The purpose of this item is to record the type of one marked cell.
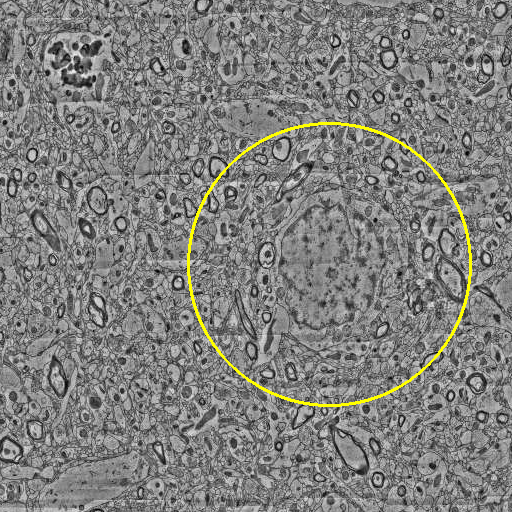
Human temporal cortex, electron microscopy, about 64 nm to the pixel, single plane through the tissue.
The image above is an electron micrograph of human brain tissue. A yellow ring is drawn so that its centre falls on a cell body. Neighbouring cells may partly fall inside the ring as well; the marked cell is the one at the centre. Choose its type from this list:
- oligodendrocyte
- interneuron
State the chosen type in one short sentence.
What the ring marks here is an interneuron.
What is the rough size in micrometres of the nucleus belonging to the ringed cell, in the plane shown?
In this plane, about 8 micrometres in length and 7 in width.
